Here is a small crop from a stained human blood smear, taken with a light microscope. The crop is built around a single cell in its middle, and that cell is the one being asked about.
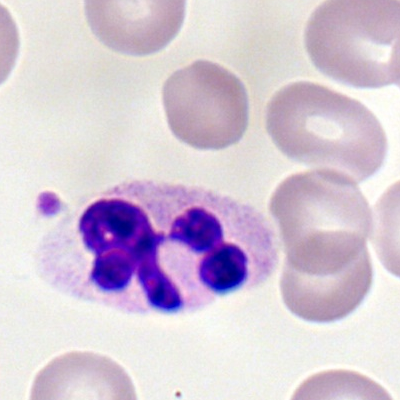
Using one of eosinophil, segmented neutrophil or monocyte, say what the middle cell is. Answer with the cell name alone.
segmented neutrophil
